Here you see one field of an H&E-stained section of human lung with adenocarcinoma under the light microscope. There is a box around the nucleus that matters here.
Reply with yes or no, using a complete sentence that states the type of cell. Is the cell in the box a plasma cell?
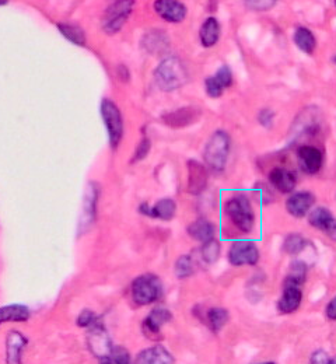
Yes, the classification of the cell in the box as a plasma cell is accurate.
